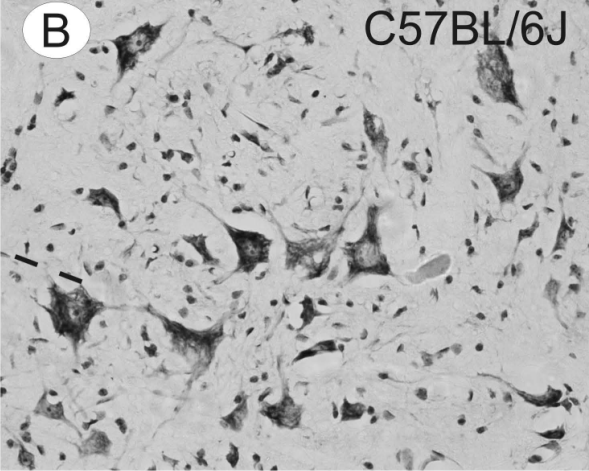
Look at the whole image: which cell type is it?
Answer: motoneuron cell bodies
